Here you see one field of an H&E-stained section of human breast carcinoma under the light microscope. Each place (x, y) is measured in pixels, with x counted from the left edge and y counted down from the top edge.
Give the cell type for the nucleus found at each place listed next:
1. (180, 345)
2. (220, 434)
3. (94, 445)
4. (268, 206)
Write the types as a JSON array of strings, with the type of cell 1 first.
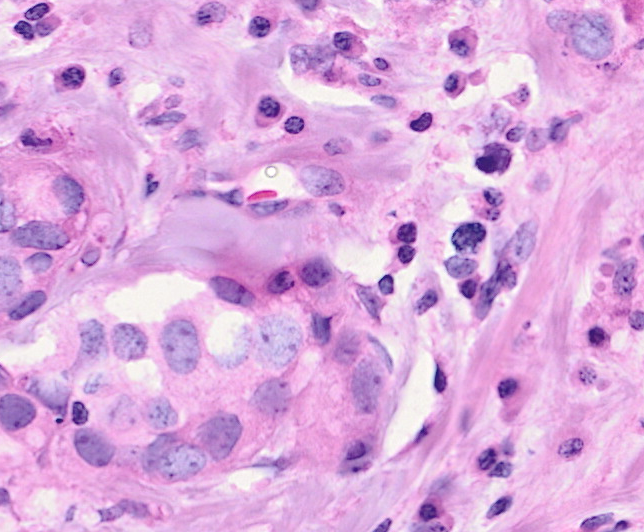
["carcinoma cell", "carcinoma cell", "carcinoma cell", "endothelial cell"]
